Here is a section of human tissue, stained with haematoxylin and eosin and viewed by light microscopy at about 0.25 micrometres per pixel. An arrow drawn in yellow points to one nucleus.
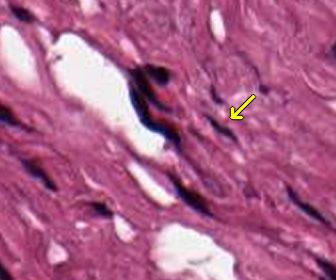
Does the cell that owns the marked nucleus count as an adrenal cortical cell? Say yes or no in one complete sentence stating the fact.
No, the marked nucleus is found in a supporting cell instead of in an adrenal cortical cell.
